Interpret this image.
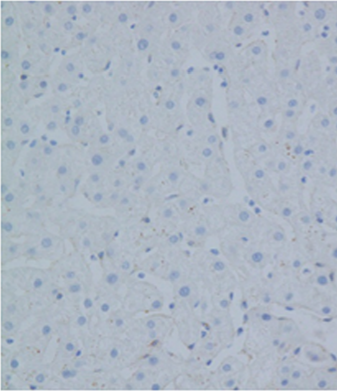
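This is liver tissue made of hepatocytes arranged in plates with narrow sinusoidal spaces between them. The hepatocytes are large polygonal cells with pale cytoplasm and round blue nuclei, many centrally placed. Small elongated nuclei lie along the spaces between the plates. The tissue is almost entirely pale and blue, with only a few faint brown specks.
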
